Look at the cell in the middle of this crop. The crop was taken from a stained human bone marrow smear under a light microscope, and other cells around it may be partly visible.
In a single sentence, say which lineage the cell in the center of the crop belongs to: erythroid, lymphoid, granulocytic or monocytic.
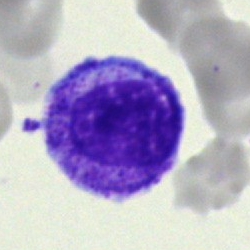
The cell at the center belongs, by lineage, to the granulocytic line.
